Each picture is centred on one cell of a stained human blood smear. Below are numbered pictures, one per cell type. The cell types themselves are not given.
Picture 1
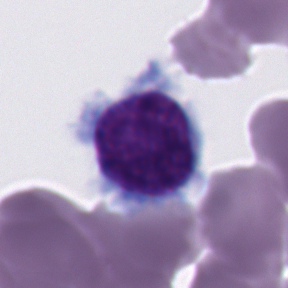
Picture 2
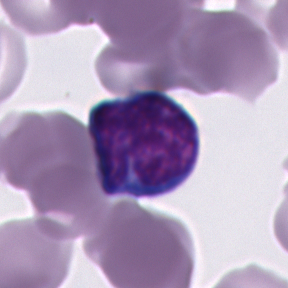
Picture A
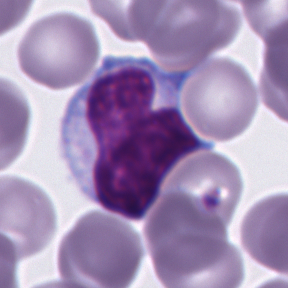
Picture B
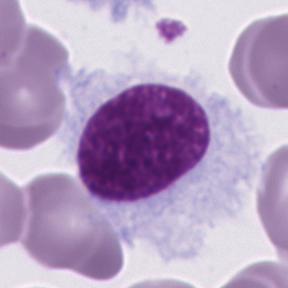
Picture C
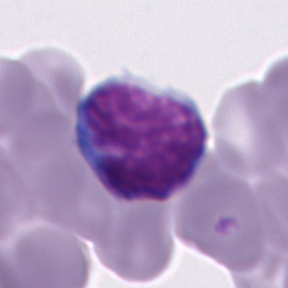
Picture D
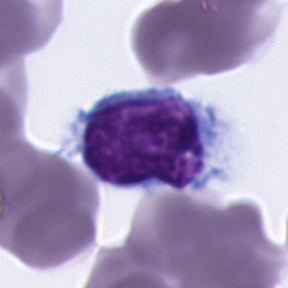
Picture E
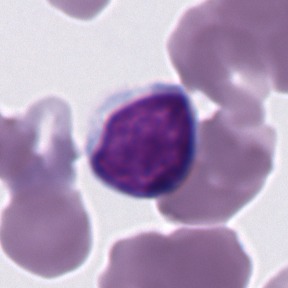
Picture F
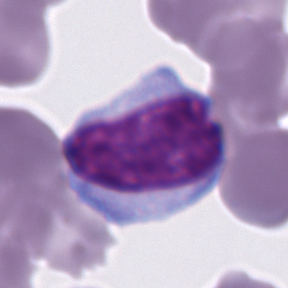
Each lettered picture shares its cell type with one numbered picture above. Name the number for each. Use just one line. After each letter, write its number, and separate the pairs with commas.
A 2, B 1, C 2, D 1, E 2, F 2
